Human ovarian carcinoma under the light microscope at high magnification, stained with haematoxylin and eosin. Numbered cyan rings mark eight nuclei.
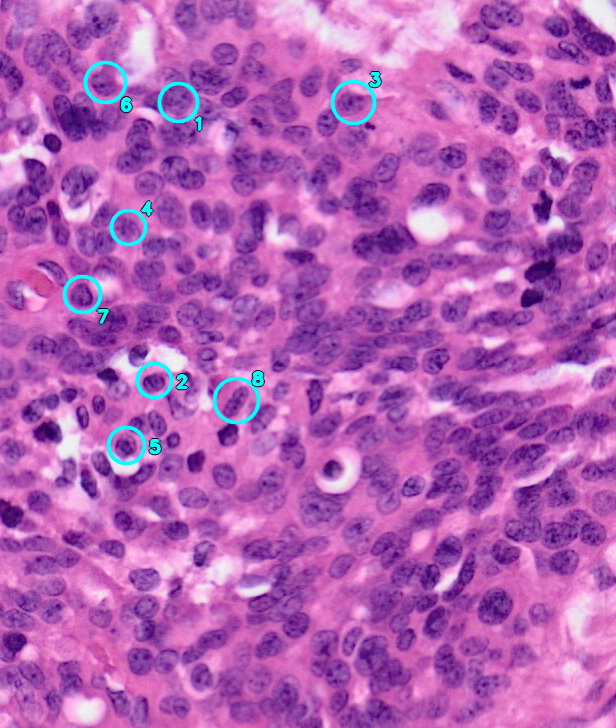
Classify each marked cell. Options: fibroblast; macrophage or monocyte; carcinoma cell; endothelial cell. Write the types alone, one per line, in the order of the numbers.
carcinoma cell
macrophage or monocyte
carcinoma cell
carcinoma cell
macrophage or monocyte
carcinoma cell
carcinoma cell
macrophage or monocyte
